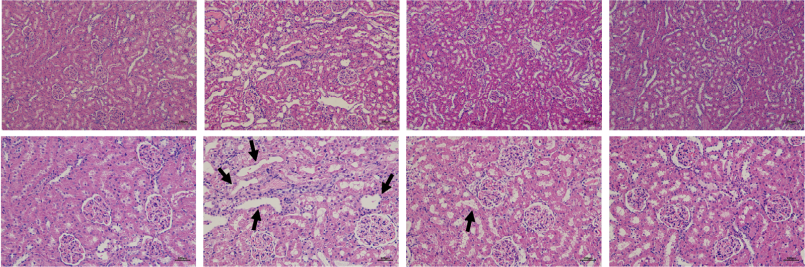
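These are sections of kidney cortex with round glomeruli set among many cross- and obliquely cut renal tubules, the tubular cells pink with purple nuclei. In some images several tubules have wide, open lumens and are dilated, and black arrows point to them. Elsewhere the tubules have narrower lumens and lie closely packed around the glomeruli.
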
